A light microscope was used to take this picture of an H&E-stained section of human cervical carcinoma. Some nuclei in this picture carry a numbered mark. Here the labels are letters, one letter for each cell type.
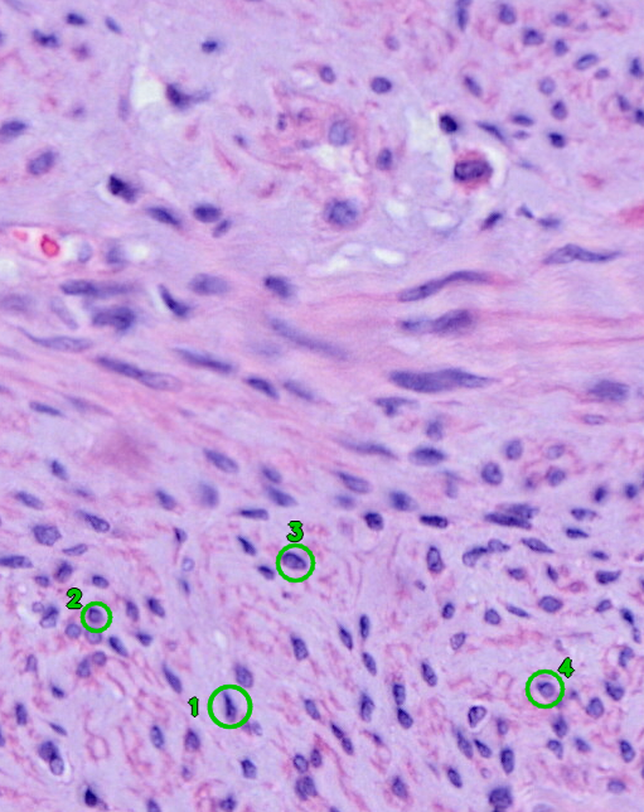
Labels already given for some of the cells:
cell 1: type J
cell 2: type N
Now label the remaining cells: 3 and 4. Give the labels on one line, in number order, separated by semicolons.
type N; type N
